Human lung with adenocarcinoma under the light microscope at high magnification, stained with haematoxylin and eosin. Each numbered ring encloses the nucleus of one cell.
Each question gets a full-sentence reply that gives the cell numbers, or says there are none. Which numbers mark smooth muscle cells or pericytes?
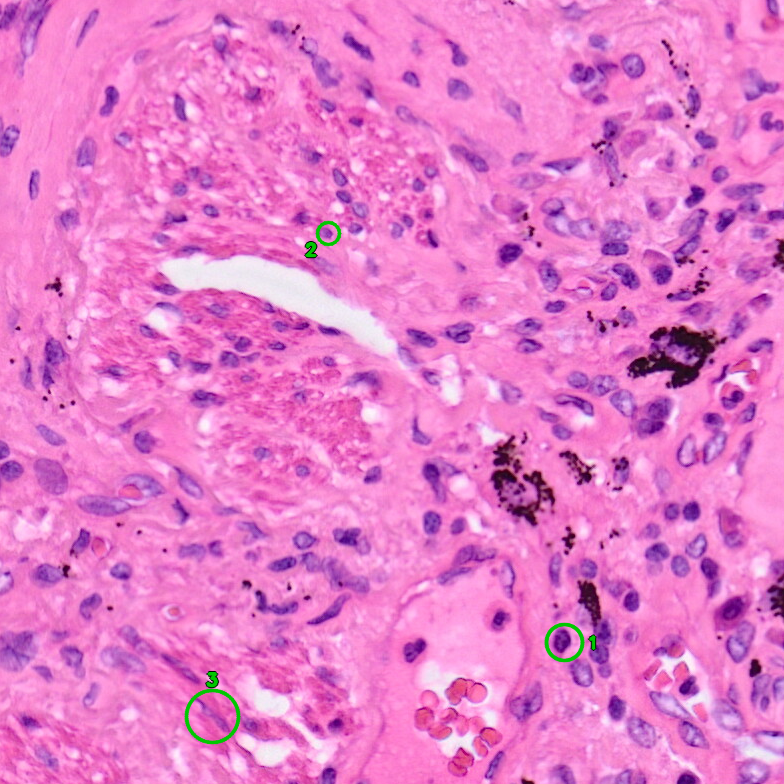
The cells carrying labels 2 and 3 are smooth muscle cells or pericytes.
